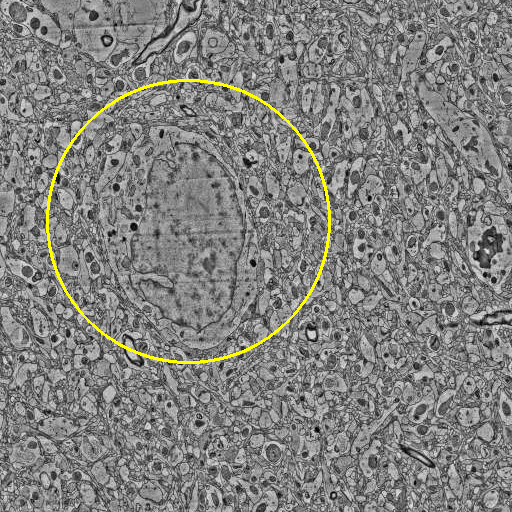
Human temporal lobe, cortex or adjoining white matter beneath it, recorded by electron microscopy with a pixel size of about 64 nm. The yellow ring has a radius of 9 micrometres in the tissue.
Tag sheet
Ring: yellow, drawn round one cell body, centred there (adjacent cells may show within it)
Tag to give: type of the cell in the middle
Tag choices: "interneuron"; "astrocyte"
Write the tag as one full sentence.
I tag the cell centred in the yellow ring as an interneuron in this picture.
